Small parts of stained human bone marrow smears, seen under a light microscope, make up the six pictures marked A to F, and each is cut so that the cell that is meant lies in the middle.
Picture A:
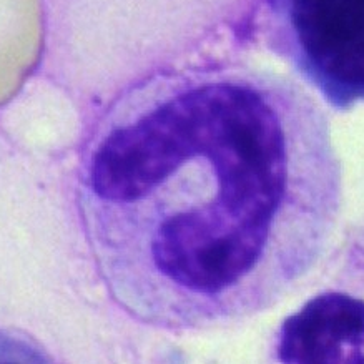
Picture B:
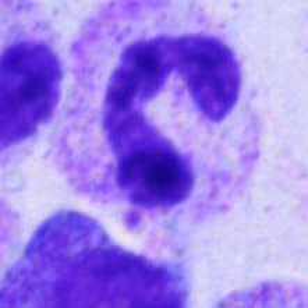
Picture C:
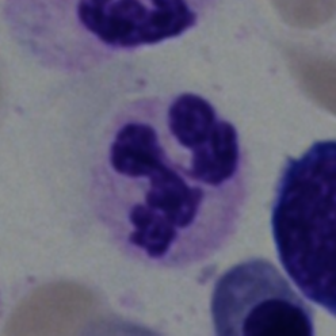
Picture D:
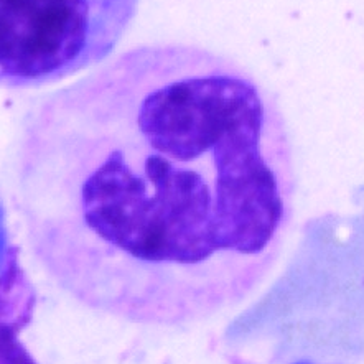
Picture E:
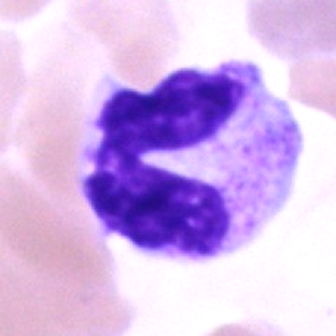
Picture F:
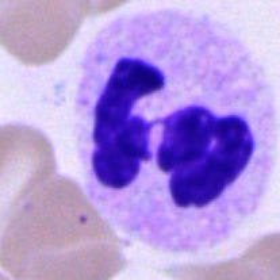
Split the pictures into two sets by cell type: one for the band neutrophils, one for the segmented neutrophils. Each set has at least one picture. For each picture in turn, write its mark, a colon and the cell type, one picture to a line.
A: band neutrophil
B: band neutrophil
C: segmented neutrophil
D: segmented neutrophil
E: segmented neutrophil
F: segmented neutrophil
